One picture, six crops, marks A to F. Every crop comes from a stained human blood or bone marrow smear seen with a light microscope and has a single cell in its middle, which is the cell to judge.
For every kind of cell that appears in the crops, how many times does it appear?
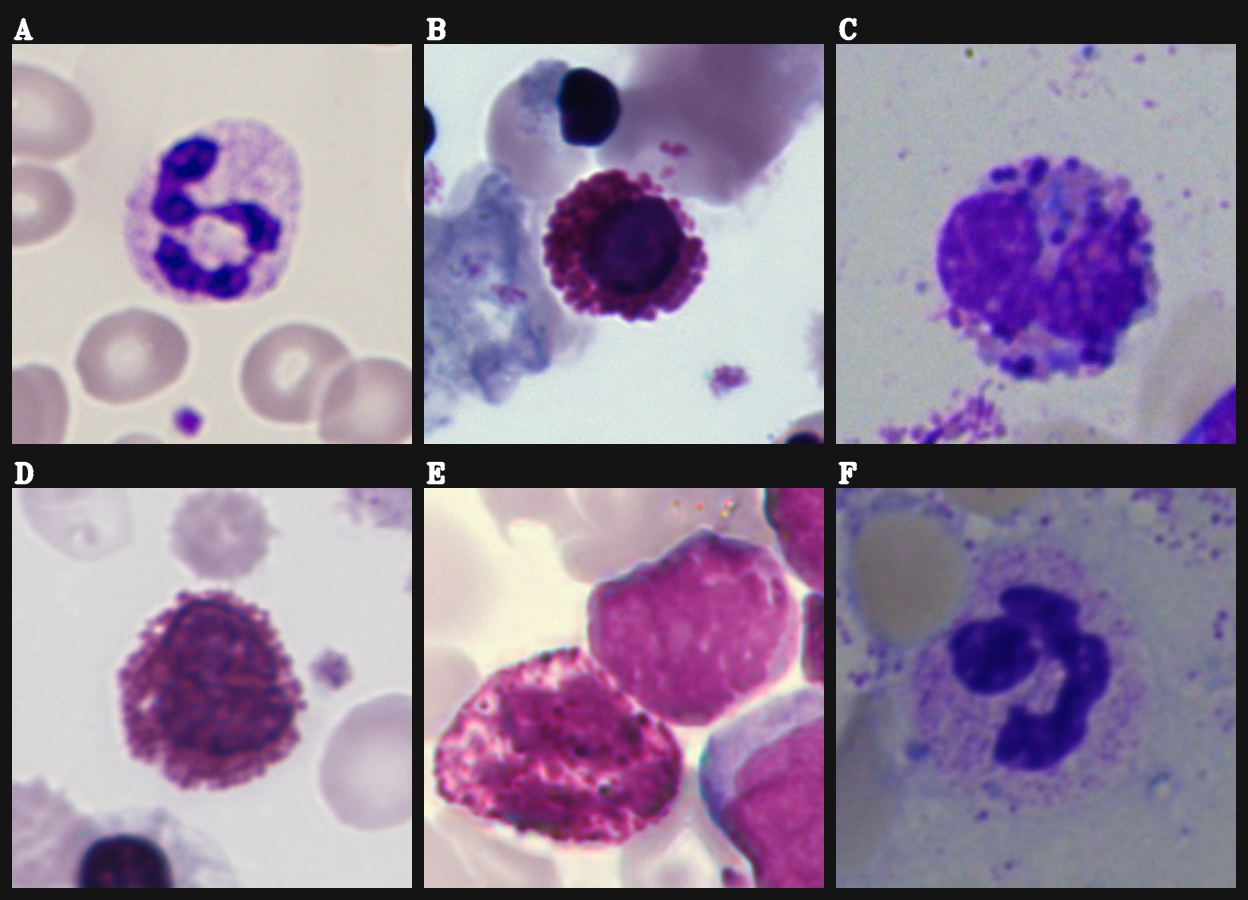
neutrophil: 2
eosinophil: 2
basophil: 2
